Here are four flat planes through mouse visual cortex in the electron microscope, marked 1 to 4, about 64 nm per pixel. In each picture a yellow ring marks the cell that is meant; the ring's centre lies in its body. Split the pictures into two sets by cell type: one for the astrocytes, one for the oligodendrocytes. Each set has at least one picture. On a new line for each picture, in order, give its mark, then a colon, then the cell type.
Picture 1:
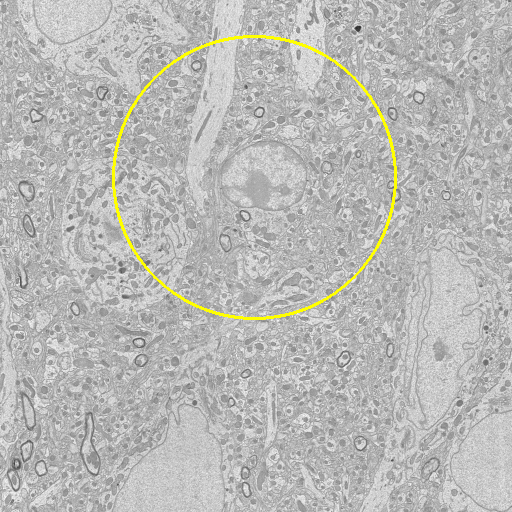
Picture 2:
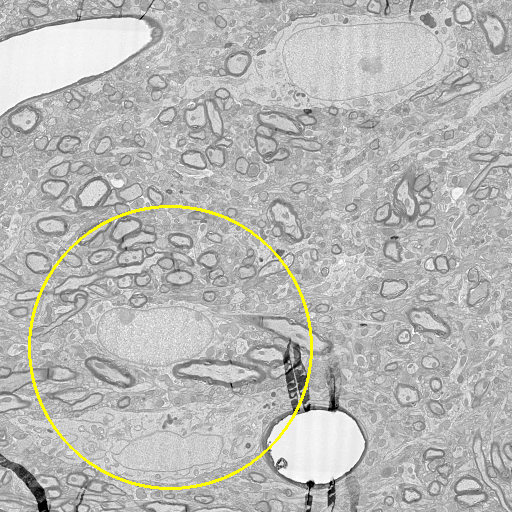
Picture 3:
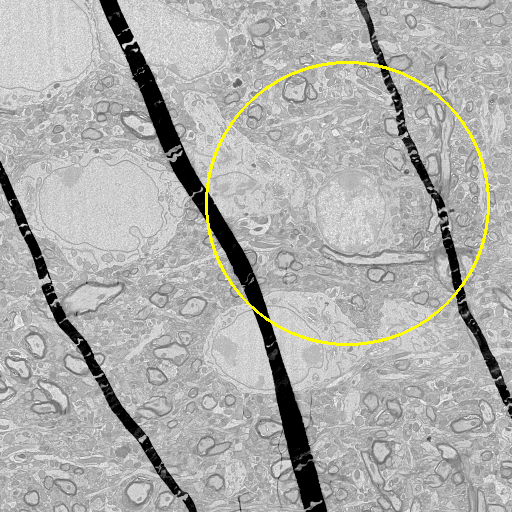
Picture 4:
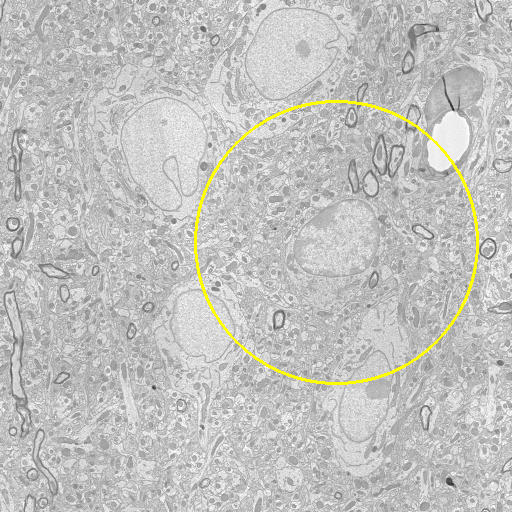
1: oligodendrocyte
2: astrocyte
3: oligodendrocyte
4: oligodendrocyte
